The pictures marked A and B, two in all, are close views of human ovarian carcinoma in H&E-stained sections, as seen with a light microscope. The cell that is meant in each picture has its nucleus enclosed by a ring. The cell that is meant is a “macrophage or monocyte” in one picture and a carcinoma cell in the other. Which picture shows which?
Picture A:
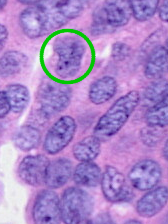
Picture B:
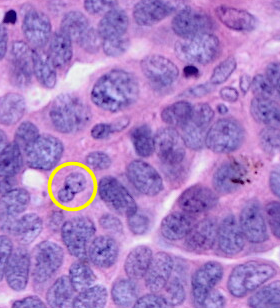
A: carcinoma cell
B: macrophage or monocyte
